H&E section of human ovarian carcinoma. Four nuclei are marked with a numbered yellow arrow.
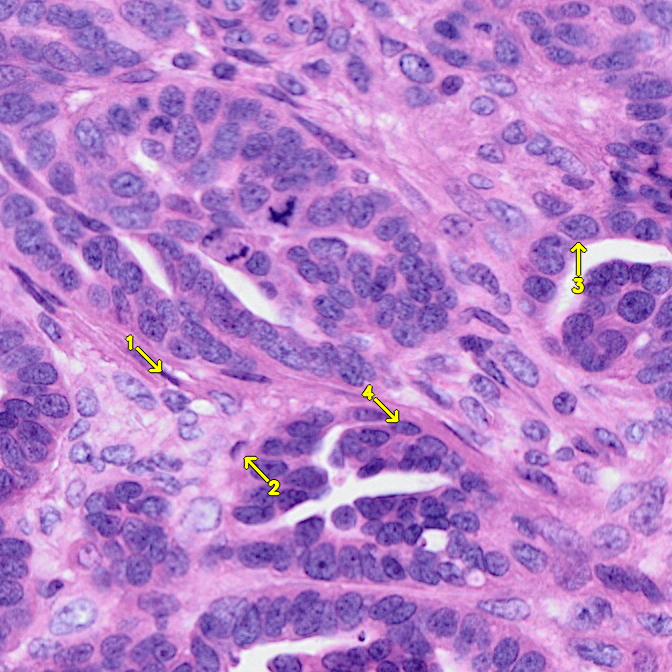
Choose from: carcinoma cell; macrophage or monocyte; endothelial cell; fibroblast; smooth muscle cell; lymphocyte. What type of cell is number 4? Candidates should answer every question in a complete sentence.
The cell carrying label 4 is identified as a carcinoma cell.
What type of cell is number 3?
In the marked set, the cell given number 3 is a carcinoma cell.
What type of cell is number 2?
The cell indicated with the number 2 is classed as a fibroblast.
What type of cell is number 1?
Cell 1 of the marked set is a fibroblast.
